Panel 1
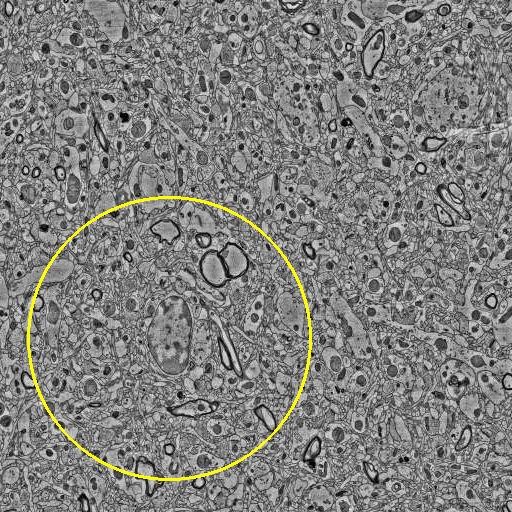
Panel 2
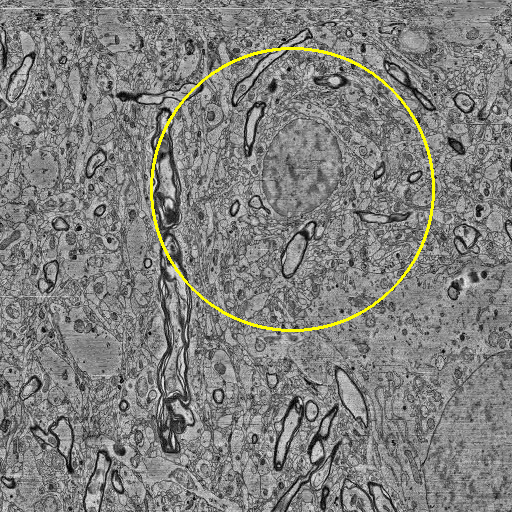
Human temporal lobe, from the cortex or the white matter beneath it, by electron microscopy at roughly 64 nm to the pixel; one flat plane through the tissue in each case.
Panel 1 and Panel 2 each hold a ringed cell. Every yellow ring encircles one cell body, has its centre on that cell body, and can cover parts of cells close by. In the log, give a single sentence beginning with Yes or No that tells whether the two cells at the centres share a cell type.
No, in Panel 1 and Panel 2 the centred cells are of two cell types.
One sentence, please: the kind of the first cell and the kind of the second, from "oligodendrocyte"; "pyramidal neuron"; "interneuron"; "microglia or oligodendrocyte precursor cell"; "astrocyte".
The ring in the first picture surrounds a microglial cell or oligodendrocyte precursor cell, and the ring in the second surrounds an oligodendrocyte.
